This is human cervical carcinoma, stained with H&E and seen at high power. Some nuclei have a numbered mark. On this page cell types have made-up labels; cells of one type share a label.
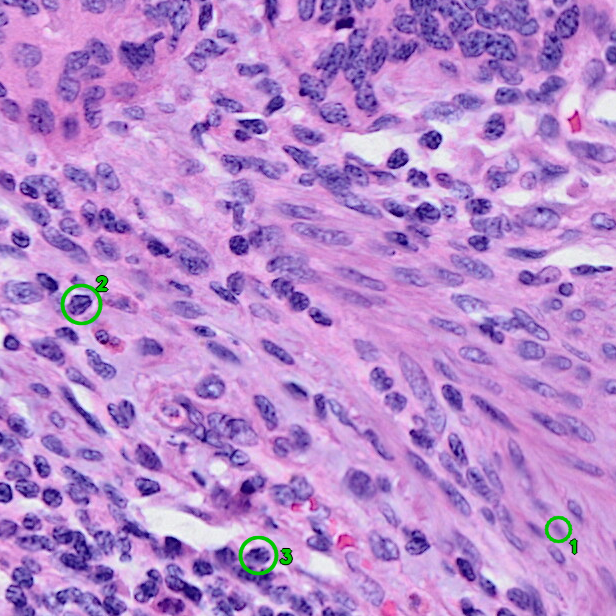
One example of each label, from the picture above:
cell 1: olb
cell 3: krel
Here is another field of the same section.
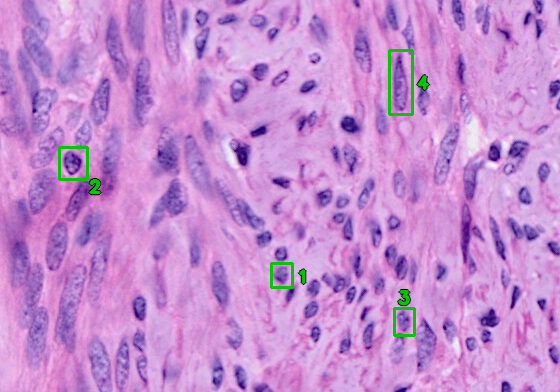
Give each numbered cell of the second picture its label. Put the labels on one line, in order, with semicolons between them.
olb; krel; olb; olb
